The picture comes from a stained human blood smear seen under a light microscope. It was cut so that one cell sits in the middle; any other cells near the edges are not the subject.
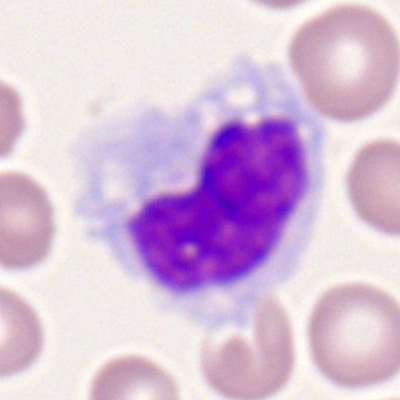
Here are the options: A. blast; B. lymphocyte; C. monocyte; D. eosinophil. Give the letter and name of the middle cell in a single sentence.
Option C is the right choice, the central cell being a monocyte.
